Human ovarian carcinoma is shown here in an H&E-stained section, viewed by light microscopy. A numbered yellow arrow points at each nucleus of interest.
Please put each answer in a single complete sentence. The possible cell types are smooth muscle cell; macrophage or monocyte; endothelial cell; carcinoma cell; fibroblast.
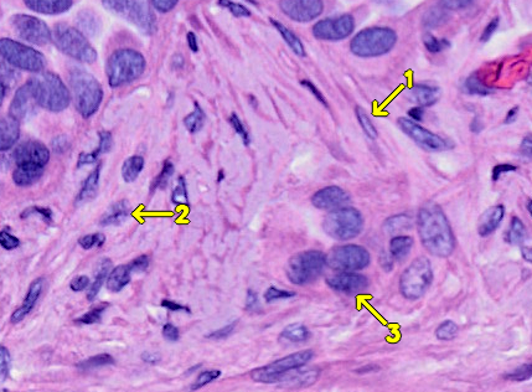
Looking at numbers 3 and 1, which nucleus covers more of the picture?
It is nucleus 3, which covers about 2 times the area of nucleus 1.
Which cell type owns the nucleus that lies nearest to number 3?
Closest to number 3 lies the nucleus of a carcinoma cell.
